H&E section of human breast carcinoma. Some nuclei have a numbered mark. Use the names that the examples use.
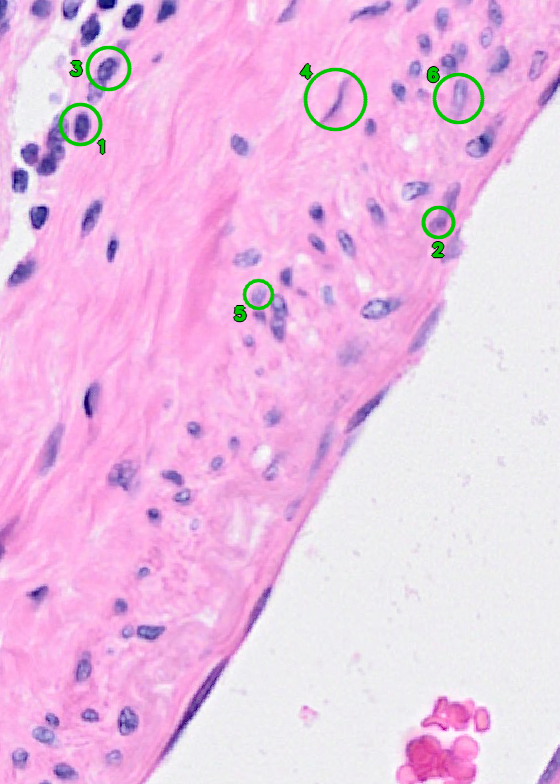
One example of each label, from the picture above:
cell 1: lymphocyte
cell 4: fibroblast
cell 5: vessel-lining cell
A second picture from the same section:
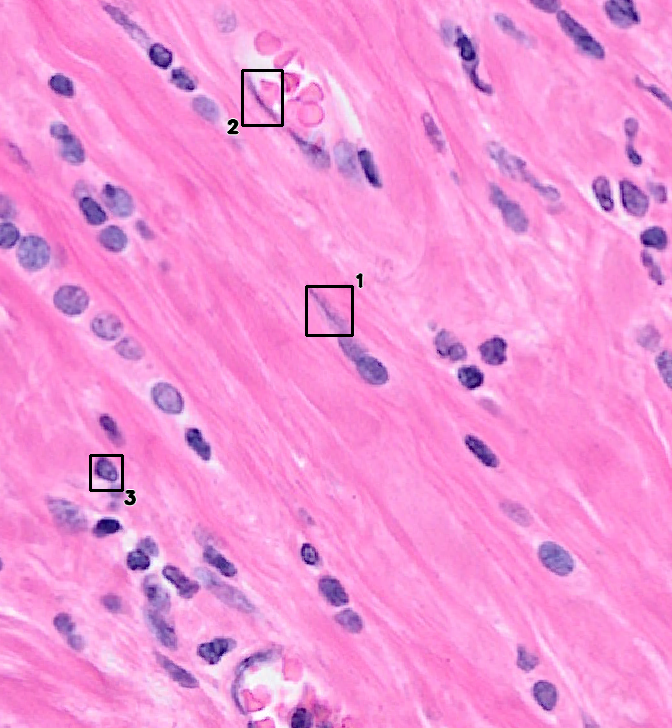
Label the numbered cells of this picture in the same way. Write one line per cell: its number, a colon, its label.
1: fibroblast
2: vessel-lining cell
3: lymphocyte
